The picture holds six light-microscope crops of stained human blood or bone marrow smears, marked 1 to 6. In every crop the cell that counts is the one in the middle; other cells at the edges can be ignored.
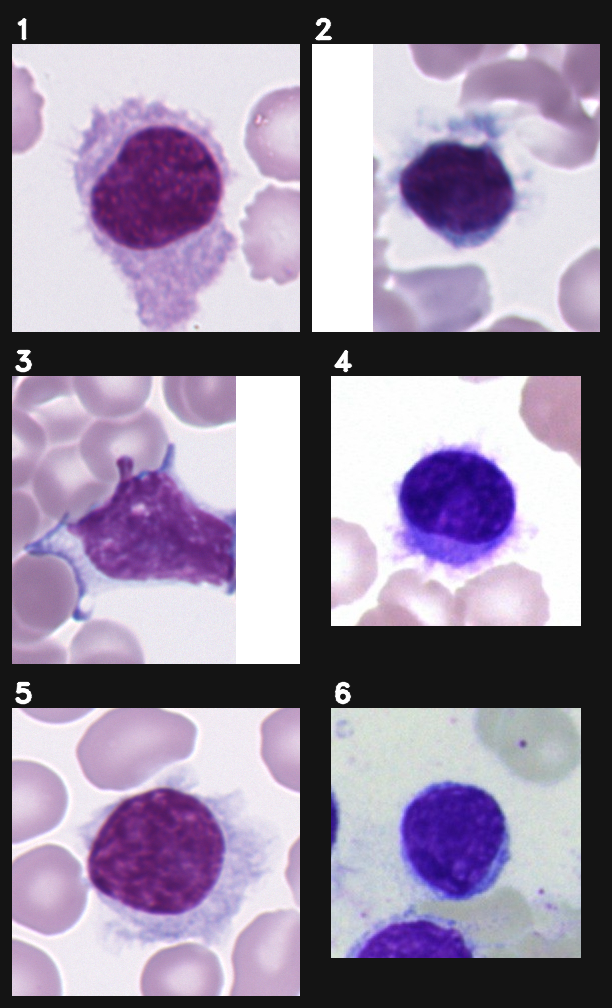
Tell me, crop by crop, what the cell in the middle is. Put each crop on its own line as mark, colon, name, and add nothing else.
1: hairy cell
2: hairy cell
3: lymphocyte
4: hairy cell
5: hairy cell
6: lymphocyte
